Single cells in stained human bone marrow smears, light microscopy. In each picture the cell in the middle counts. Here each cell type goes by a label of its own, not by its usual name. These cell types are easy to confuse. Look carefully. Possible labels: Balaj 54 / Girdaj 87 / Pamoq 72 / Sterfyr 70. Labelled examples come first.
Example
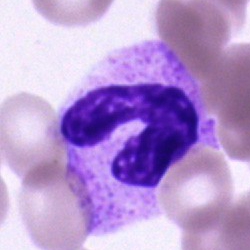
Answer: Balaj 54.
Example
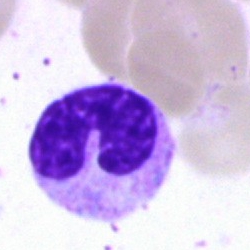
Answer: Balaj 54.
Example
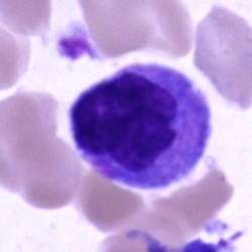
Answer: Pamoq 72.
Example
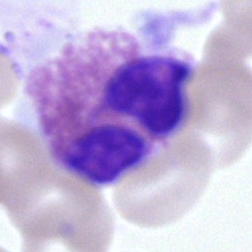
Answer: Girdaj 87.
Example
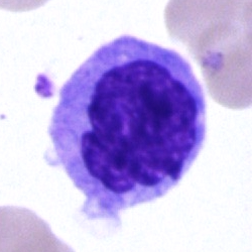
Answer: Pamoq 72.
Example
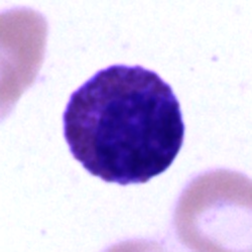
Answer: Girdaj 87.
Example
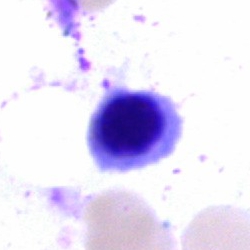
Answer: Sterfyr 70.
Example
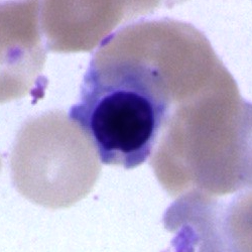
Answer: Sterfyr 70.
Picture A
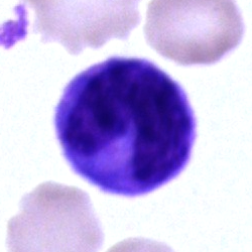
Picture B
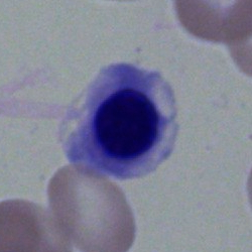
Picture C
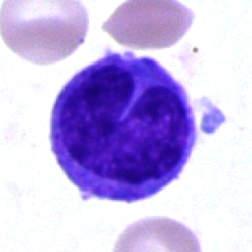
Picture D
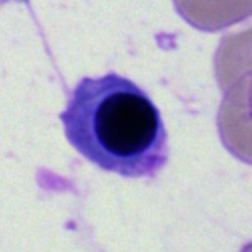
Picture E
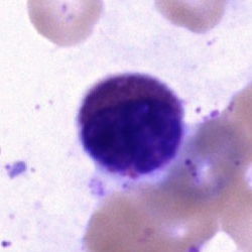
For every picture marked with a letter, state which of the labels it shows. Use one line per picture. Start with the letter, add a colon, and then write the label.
A: Pamoq 72.
B: Sterfyr 70.
C: Pamoq 72.
D: Sterfyr 70.
E: Girdaj 87.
